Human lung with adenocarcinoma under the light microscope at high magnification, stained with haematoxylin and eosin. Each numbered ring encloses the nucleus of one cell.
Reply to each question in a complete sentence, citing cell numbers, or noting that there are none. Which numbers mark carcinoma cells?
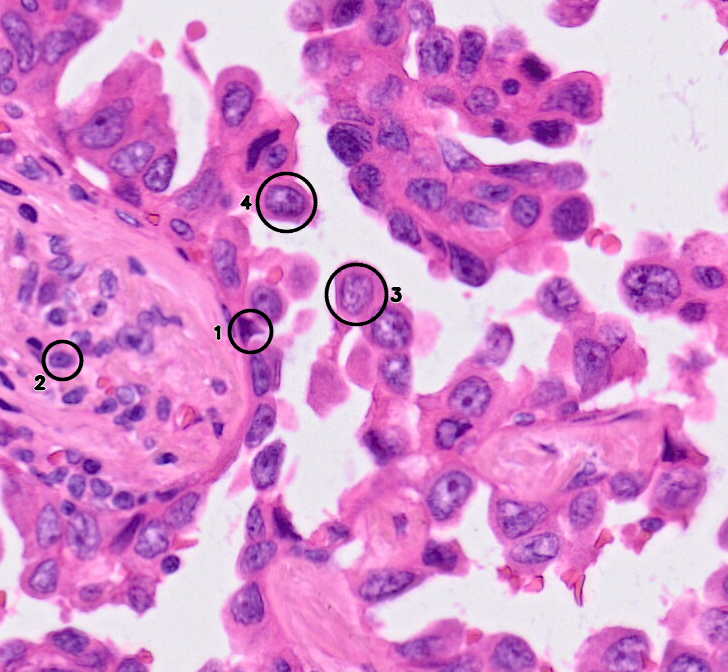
Cells that were given the numbers 1, 3 and 4 are carcinoma cells.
